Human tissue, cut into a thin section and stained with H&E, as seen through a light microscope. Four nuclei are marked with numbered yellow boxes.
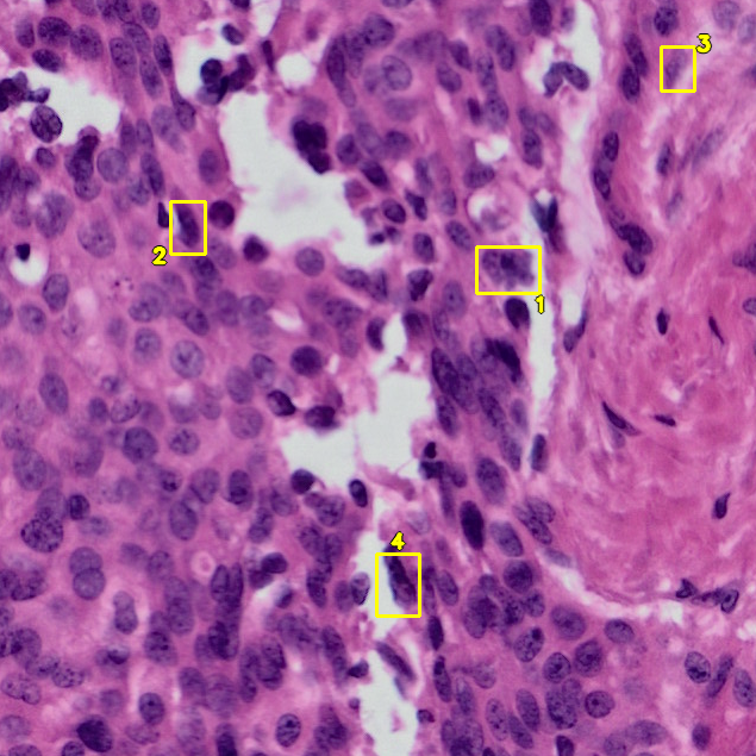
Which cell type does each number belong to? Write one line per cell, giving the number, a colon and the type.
1: carcinoma cell
2: carcinoma cell
3: fibroblast
4: carcinoma cell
